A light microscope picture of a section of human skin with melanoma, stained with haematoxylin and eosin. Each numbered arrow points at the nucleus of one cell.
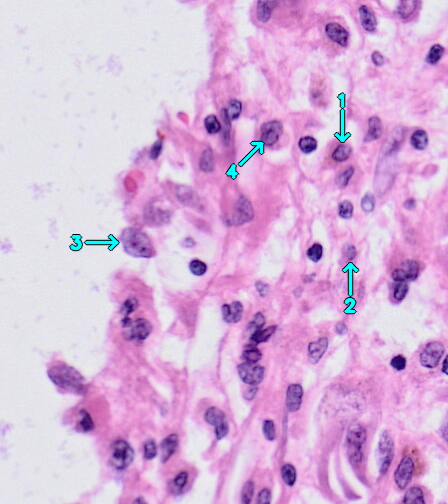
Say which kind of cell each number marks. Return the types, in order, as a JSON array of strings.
["macrophage or monocyte", "macrophage or monocyte", "melanoma cell", "macrophage or monocyte"]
